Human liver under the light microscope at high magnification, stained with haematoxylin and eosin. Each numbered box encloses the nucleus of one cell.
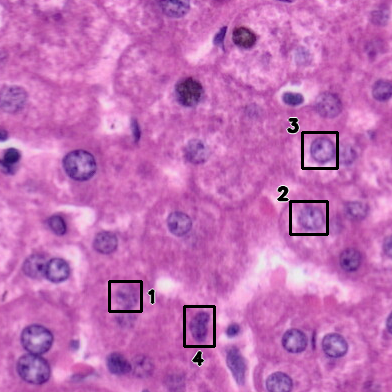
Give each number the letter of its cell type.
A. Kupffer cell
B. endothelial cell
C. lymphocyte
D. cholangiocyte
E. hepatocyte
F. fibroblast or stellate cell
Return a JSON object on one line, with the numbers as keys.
{"1": "E", "2": "E", "3": "E", "4": "F"}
